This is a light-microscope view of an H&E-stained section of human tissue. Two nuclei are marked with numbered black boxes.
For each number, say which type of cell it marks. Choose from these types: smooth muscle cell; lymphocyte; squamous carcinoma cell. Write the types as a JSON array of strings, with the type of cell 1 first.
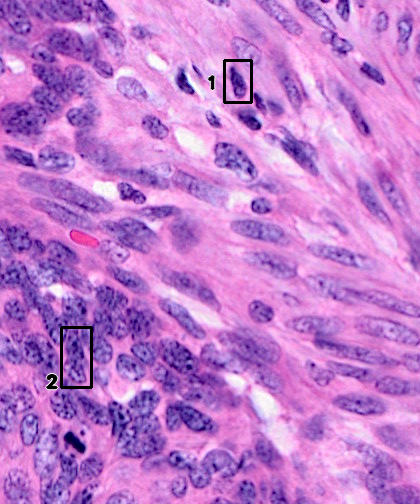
["lymphocyte", "squamous carcinoma cell"]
